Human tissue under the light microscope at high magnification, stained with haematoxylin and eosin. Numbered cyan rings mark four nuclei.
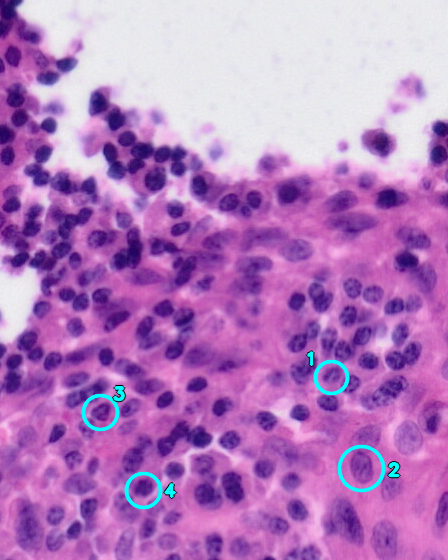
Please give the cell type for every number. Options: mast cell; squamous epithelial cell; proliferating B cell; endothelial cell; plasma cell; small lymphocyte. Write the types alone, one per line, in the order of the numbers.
plasma cell
squamous epithelial cell
plasma cell
plasma cell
